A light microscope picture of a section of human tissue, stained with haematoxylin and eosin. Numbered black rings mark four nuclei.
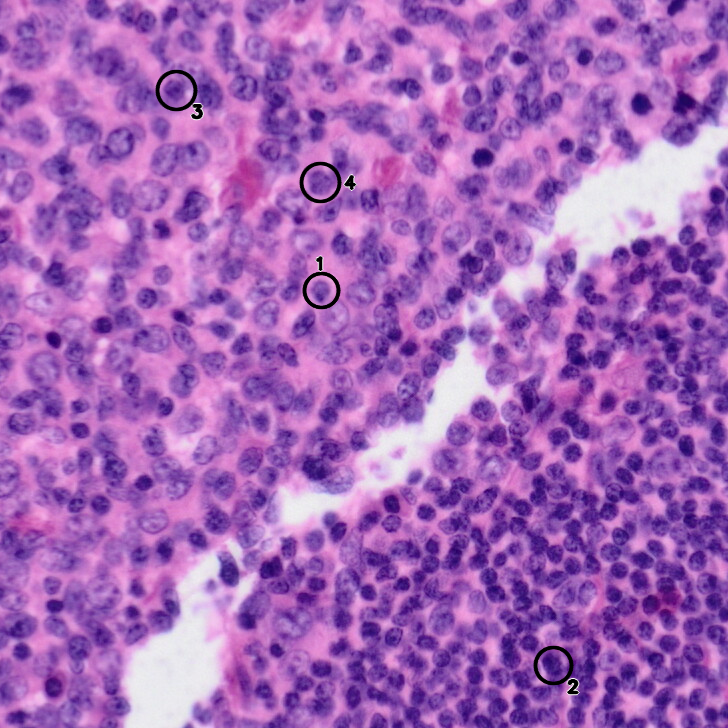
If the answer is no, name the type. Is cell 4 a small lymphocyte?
No, it is a proliferating B cell.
